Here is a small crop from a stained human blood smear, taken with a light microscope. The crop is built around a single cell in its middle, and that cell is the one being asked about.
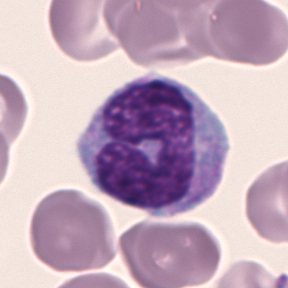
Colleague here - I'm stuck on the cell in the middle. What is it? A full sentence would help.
The crop's centre is taken up by a monocyte.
